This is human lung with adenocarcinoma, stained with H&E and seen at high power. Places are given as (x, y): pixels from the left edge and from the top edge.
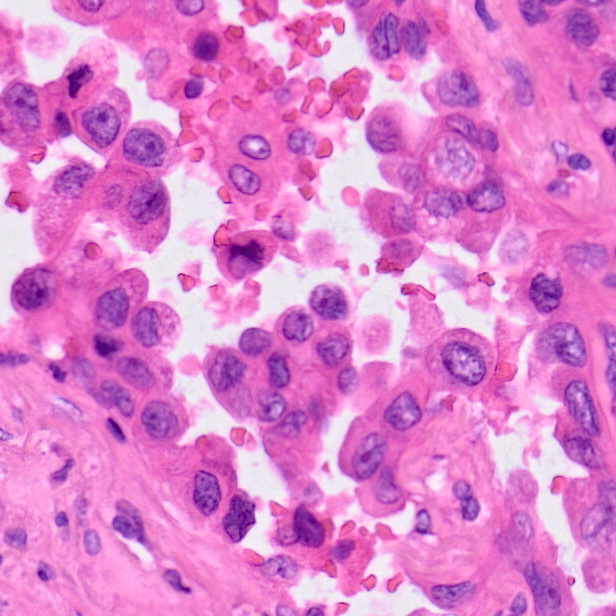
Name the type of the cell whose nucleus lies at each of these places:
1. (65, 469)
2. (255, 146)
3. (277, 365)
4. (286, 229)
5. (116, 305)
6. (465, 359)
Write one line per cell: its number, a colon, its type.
1: plasma cell
2: macrophage or monocyte
3: carcinoma cell
4: macrophage or monocyte
5: carcinoma cell
6: carcinoma cell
